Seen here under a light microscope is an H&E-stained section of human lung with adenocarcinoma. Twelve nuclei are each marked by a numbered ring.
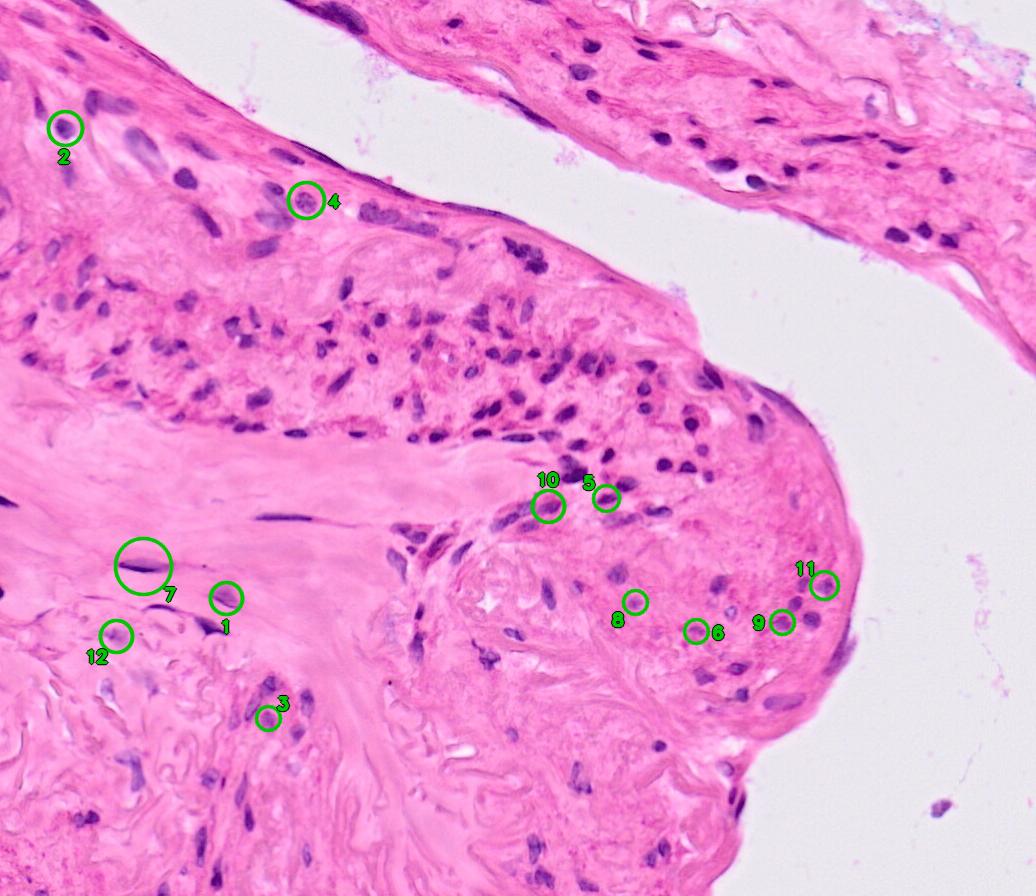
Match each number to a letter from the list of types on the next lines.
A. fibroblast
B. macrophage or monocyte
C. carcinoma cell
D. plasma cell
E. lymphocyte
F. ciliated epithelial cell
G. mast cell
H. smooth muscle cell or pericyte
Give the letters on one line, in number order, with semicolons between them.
A; E; H; G; H; H; A; H; H; H; H; A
